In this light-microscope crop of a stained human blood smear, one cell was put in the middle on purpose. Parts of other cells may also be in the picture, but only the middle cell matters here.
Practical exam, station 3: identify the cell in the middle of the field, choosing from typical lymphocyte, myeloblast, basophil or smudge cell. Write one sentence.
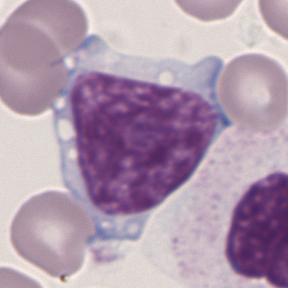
This particular crop is centered on a myeloblast.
